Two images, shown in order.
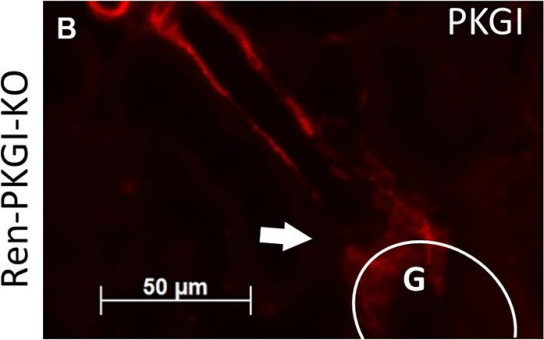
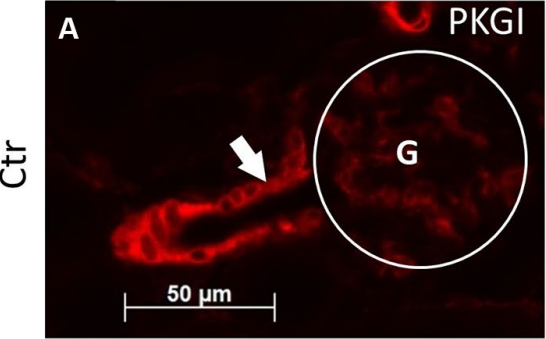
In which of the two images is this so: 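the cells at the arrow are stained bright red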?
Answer: The second image.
